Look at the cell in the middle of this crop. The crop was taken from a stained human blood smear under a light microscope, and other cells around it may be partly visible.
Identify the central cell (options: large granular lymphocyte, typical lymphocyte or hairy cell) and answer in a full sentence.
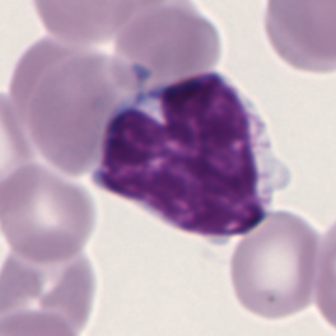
The cell at the middle of the crop is recognized as a large granular lymphocyte.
